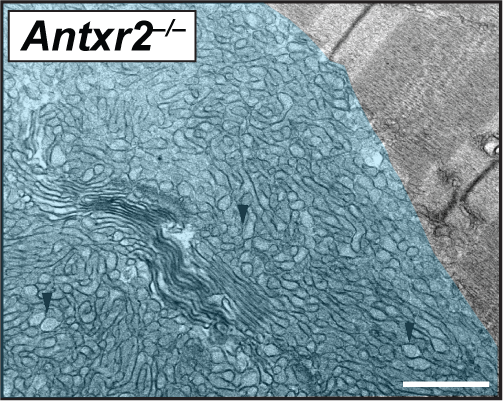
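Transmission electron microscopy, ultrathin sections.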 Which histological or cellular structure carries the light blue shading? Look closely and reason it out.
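Tubular aggregates. The shaded area is filled with densely packed small tubular profiles. Normal striated myofibrils lie in the unshaded corner at upper right.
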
